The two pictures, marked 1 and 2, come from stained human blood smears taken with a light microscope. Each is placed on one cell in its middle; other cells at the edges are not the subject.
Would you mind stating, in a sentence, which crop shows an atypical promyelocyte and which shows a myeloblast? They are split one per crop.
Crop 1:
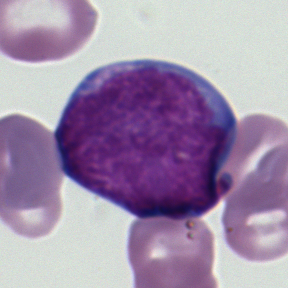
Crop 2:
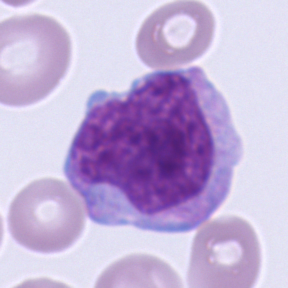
Crop 1 holds a myeloblast; an atypical promyelocyte occupies crop 2.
